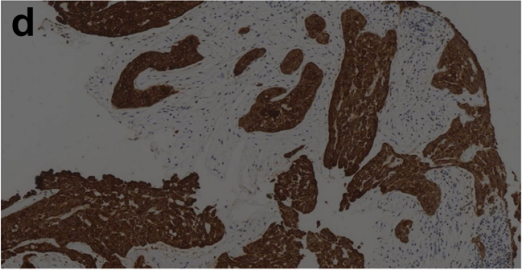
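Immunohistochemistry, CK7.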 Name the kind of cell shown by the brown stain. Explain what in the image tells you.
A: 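Brown staining fills irregular epithelial nests and cords. The surrounding stroma is unstained and pale blue. The answer: tumor cells.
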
